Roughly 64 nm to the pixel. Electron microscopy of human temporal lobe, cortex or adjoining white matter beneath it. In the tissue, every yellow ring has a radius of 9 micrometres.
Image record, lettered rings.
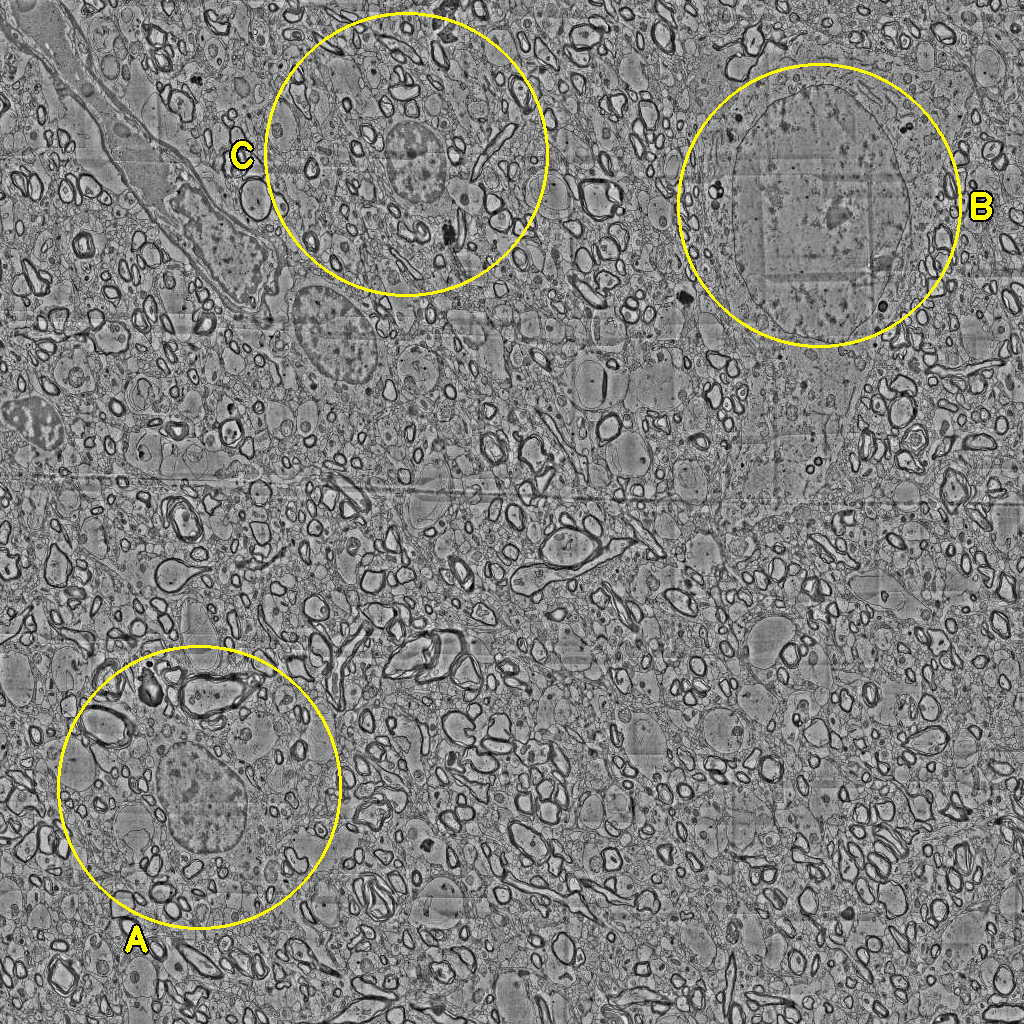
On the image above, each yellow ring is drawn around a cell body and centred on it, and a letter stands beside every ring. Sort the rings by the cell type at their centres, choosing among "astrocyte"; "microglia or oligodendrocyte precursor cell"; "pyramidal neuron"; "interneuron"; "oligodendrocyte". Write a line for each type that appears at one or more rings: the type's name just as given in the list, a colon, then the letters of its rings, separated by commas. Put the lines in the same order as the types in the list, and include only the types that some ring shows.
pyramidal neuron: B
oligodendrocyte: A, C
